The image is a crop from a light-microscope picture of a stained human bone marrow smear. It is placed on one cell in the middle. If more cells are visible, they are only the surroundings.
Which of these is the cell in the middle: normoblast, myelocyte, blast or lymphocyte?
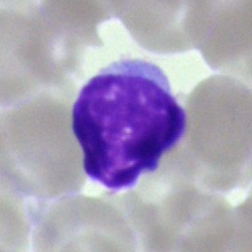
lymphocyte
